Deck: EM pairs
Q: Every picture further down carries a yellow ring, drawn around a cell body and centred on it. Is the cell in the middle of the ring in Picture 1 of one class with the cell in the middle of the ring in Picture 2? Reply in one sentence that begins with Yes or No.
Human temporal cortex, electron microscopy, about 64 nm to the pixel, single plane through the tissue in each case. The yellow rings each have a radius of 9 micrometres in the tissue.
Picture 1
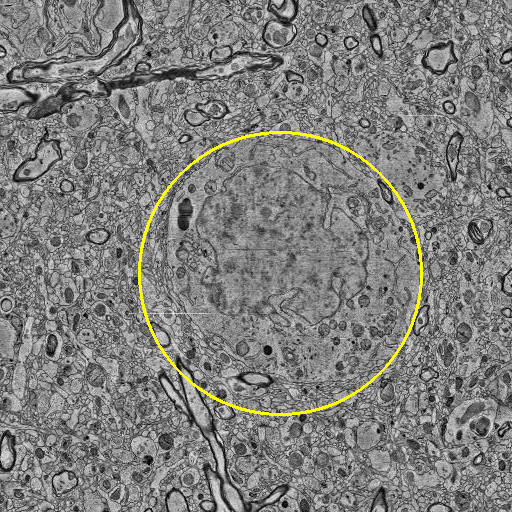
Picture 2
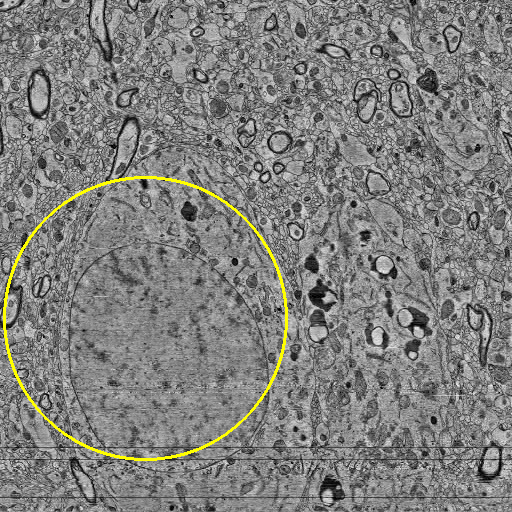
No, the cell centred in the ring of Picture 1 and the one in Picture 2 belong to separate classes.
